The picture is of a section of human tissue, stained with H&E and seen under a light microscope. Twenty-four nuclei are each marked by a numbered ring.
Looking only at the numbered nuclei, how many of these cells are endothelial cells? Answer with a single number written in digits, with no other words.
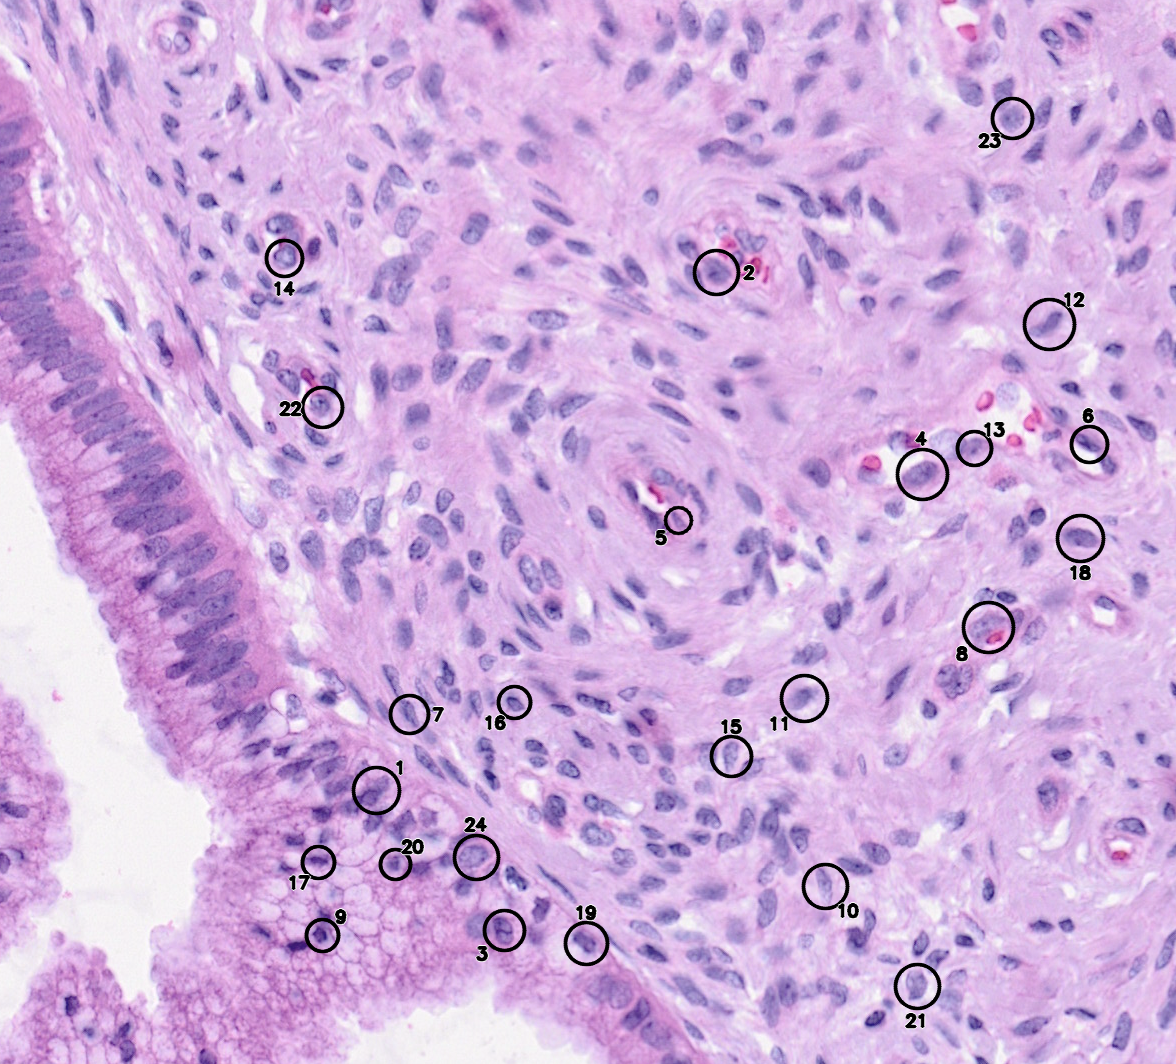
8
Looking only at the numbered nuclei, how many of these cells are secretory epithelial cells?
7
